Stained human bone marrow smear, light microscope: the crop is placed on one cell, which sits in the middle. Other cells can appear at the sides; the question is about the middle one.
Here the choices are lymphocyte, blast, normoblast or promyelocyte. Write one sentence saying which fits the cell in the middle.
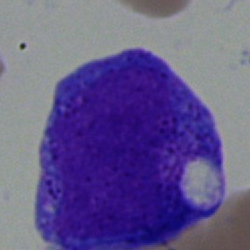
Centred in the crop is a blast.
